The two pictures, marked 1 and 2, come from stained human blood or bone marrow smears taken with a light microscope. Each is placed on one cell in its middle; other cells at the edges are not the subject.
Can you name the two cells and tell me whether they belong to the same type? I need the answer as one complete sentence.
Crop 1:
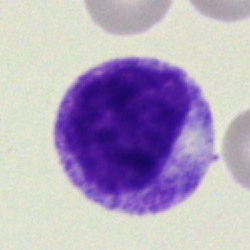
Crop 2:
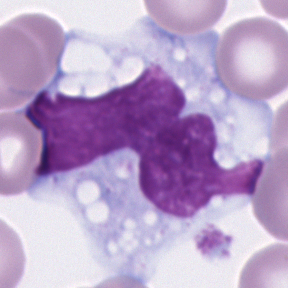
No, crop 1 captures a myelocyte; meanwhile crop 2 captures a monocyte.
